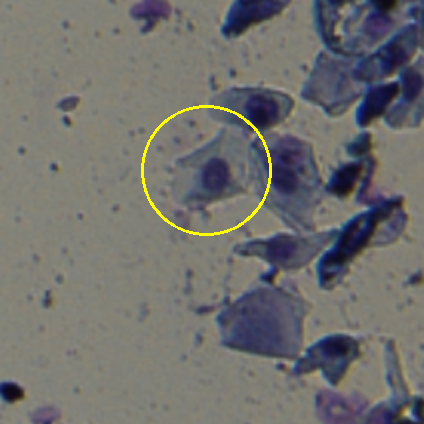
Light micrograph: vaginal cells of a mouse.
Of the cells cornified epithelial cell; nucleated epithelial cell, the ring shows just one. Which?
The ring shows a nucleated epithelial cell.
